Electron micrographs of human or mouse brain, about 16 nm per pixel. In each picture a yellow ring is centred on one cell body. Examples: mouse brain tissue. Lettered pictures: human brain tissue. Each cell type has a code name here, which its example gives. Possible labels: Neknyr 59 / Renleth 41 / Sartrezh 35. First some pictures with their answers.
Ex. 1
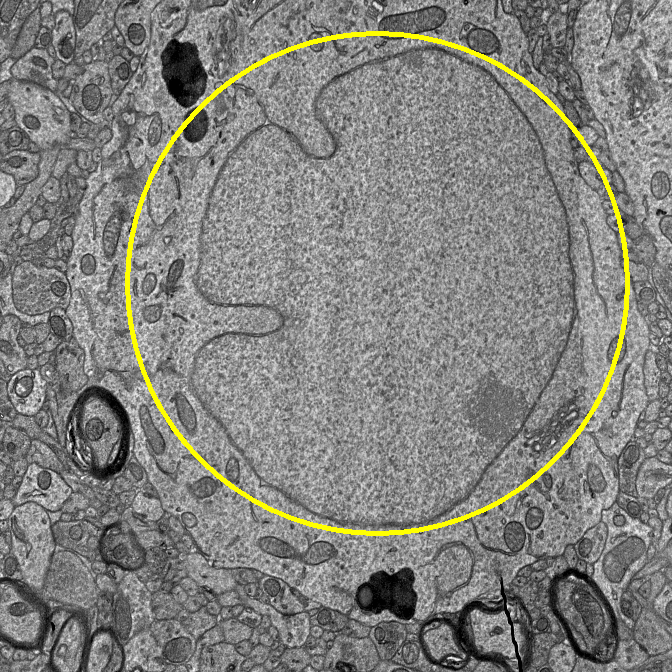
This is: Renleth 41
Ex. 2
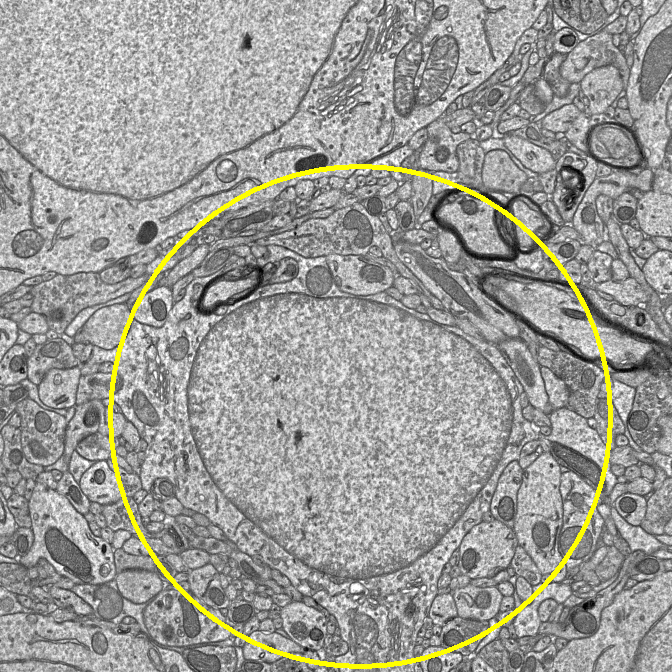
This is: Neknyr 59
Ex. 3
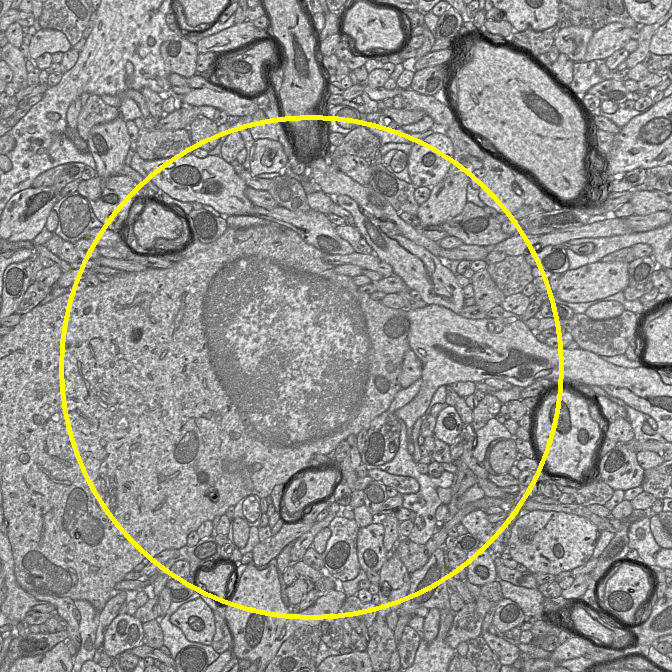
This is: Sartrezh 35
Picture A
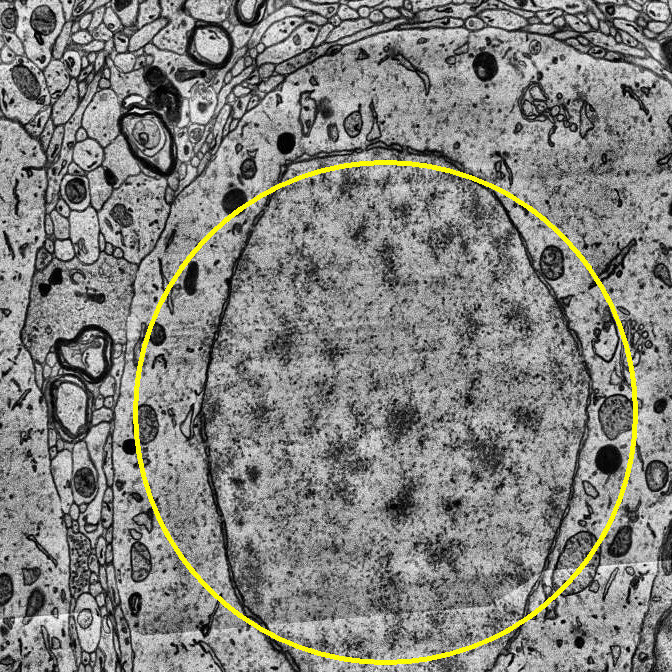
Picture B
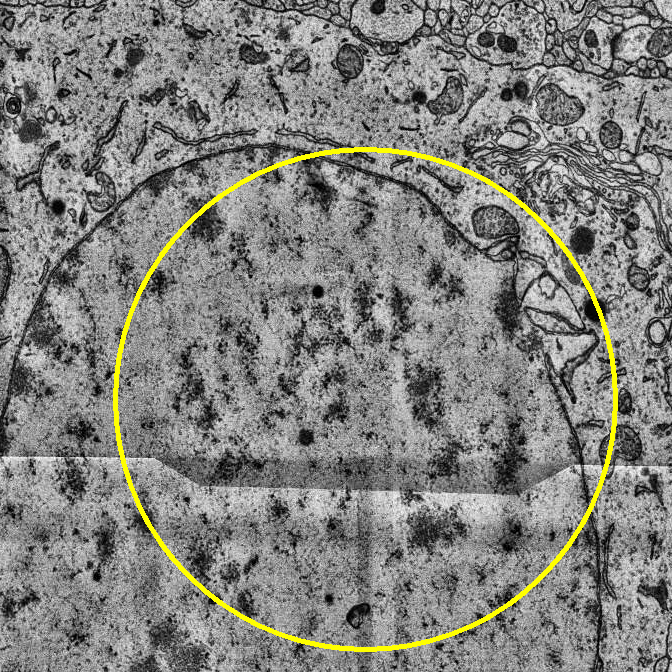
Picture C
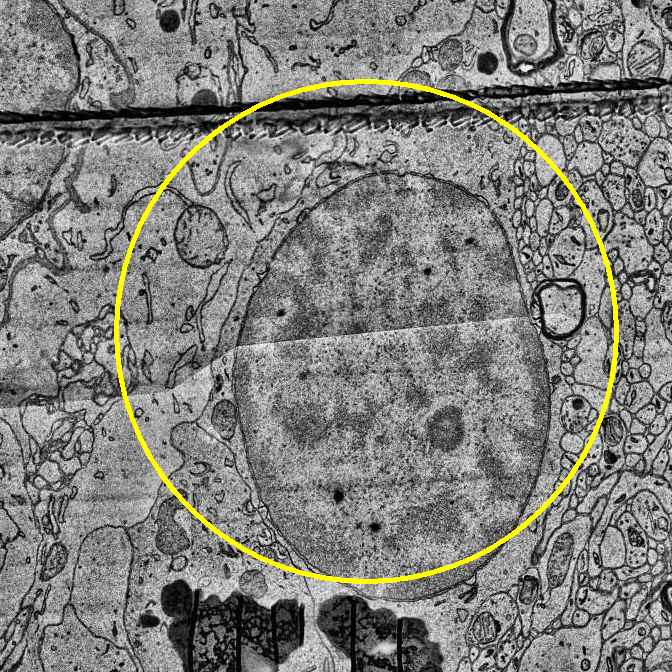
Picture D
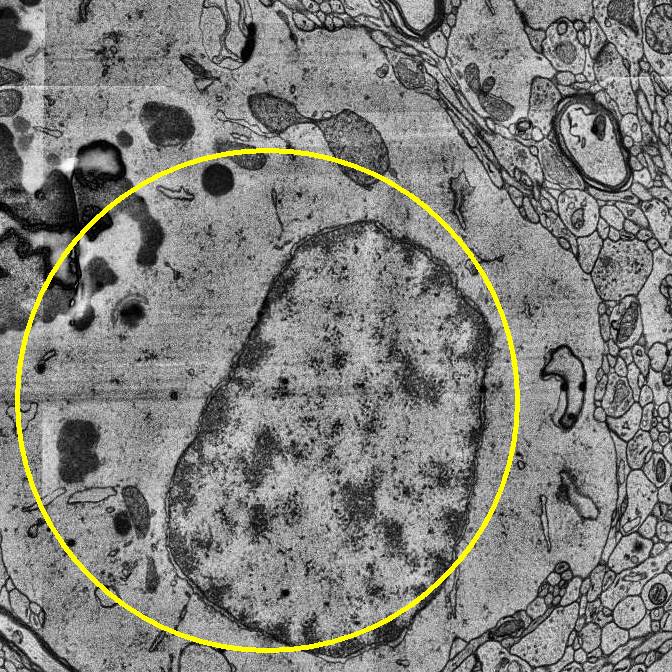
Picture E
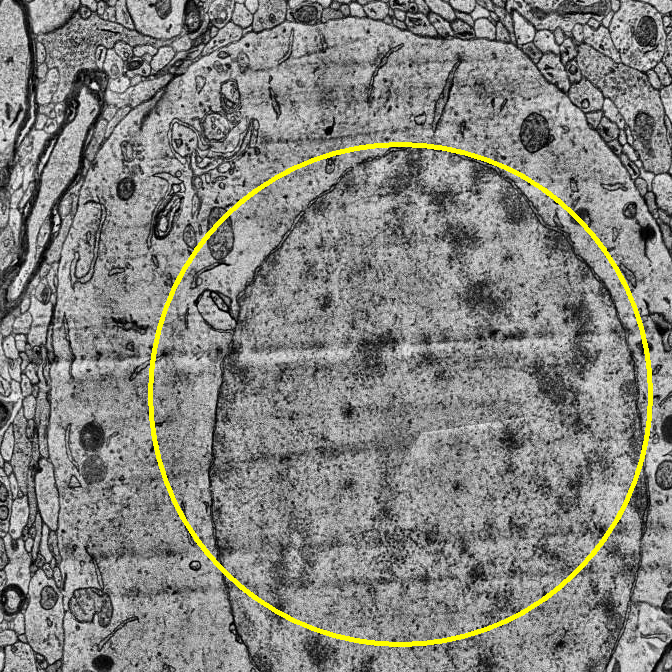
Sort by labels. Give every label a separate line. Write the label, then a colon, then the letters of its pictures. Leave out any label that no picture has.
Neknyr 59: D
Renleth 41: A, B, E
Sartrezh 35: C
